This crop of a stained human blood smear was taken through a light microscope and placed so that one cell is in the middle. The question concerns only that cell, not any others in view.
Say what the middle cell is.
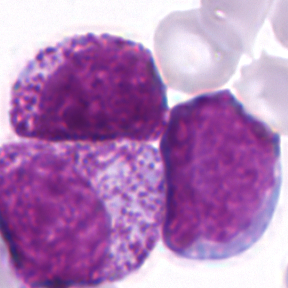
myelocyte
